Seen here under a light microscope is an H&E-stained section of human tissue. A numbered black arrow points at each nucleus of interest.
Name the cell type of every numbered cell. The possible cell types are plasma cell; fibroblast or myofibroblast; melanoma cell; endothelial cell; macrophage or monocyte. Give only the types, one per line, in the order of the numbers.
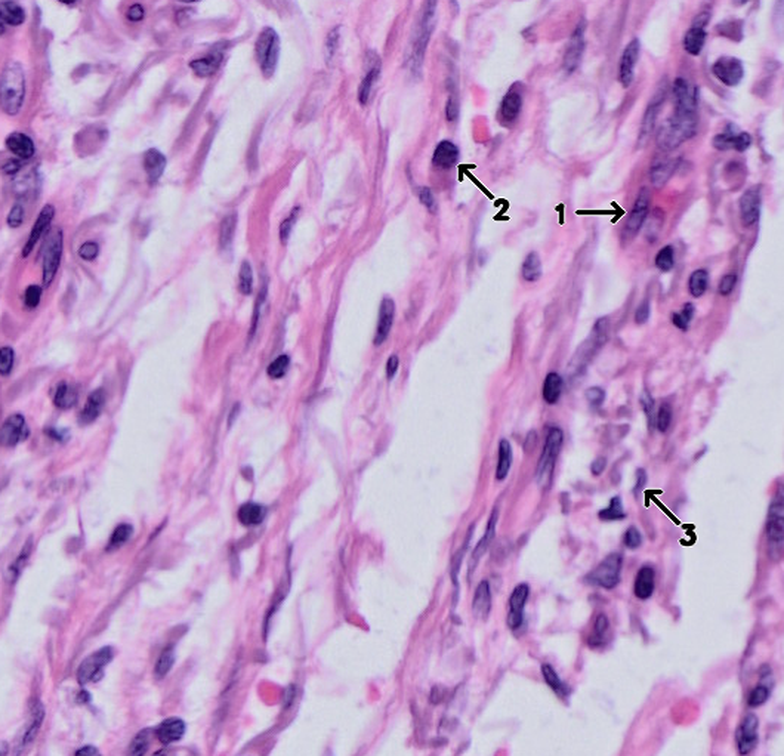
endothelial cell
plasma cell
fibroblast or myofibroblast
